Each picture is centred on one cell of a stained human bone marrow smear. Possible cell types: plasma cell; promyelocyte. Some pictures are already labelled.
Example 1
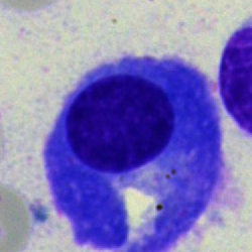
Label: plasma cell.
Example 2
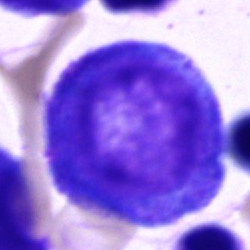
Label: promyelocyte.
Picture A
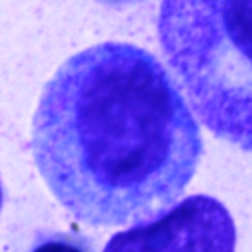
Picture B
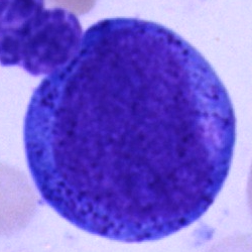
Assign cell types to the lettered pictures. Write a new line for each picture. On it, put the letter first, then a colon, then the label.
A: promyelocyte.
B: promyelocyte.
